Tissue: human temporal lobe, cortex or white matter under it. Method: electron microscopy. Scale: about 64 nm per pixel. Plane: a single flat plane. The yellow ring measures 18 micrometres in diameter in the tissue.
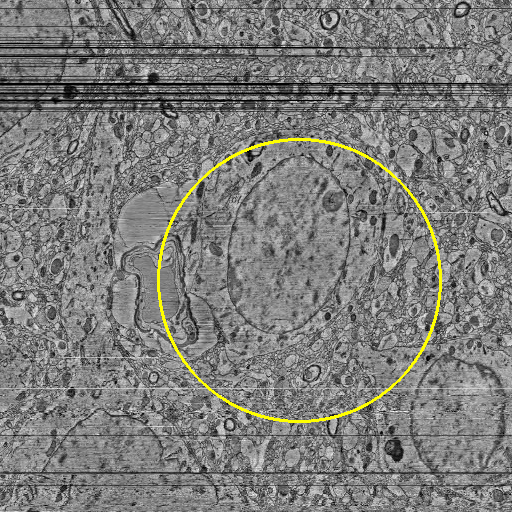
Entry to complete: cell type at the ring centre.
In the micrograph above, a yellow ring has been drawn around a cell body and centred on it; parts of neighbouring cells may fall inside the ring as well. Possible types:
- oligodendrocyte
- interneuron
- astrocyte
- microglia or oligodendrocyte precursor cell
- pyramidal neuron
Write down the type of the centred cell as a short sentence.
The ring is centred on a pyramidal neuron.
